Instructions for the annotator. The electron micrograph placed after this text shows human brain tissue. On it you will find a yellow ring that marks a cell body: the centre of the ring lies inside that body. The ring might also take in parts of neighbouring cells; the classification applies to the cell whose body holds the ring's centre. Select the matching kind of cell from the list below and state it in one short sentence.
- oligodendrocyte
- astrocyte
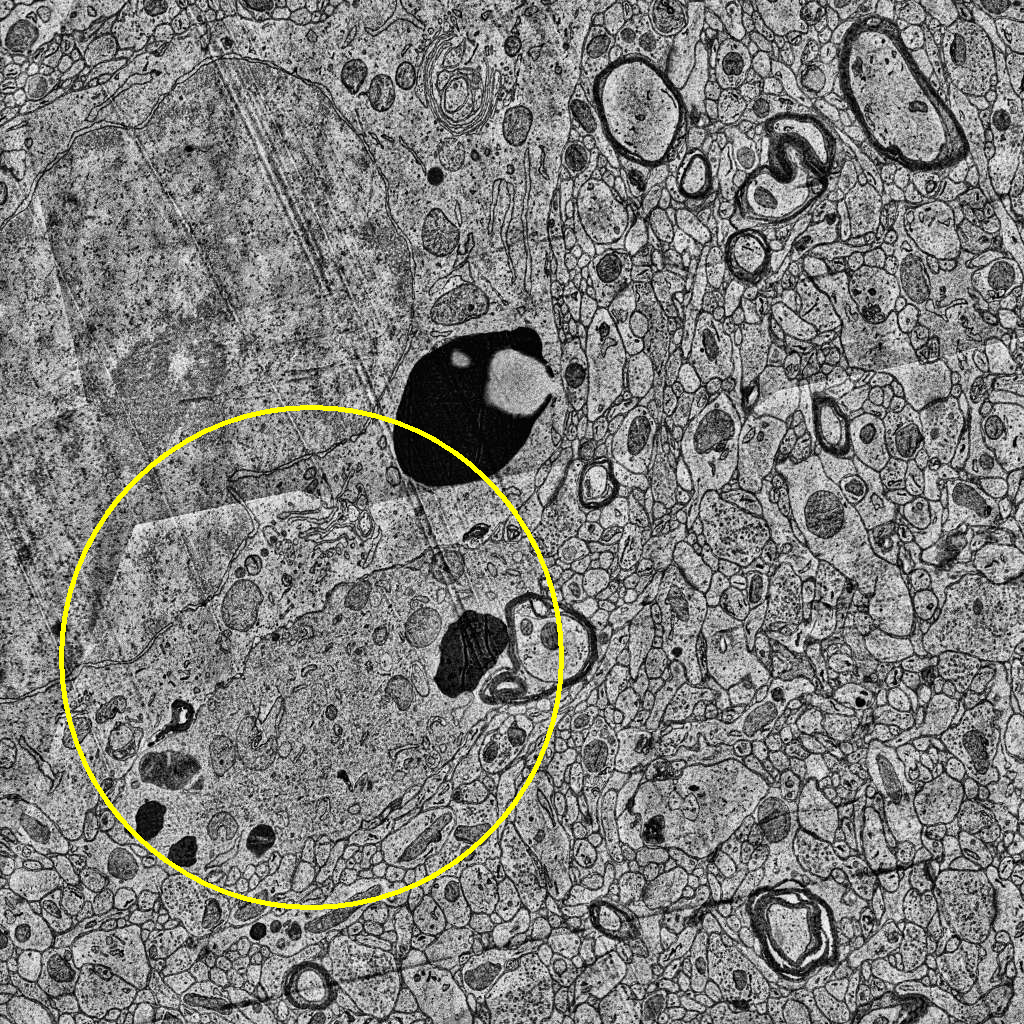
The centre of the ring lies in the cell body of an oligodendrocyte.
